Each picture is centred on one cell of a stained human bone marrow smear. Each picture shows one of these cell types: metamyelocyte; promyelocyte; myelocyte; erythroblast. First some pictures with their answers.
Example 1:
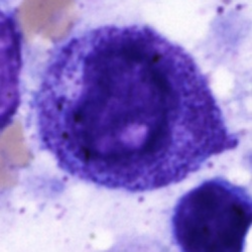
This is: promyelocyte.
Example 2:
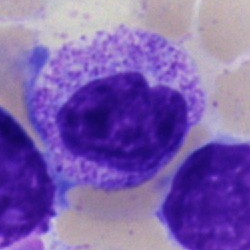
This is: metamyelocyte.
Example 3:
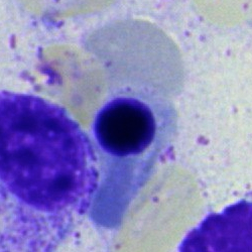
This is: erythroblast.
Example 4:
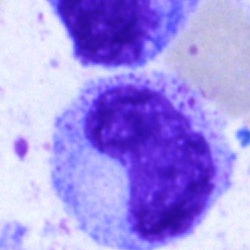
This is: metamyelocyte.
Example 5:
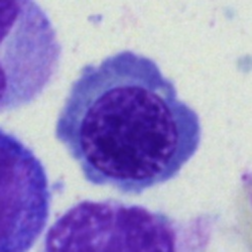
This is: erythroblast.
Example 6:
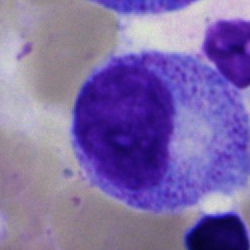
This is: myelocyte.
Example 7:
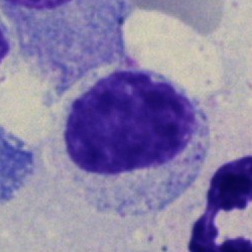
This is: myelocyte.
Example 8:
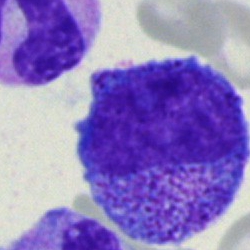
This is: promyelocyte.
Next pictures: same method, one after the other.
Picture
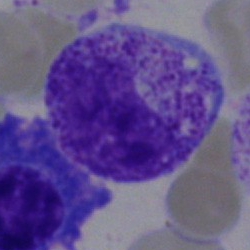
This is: myelocyte.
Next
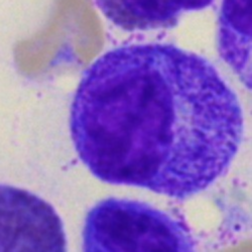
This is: promyelocyte.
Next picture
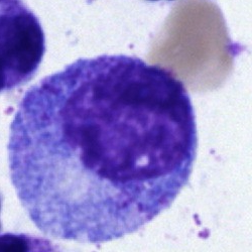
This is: promyelocyte.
